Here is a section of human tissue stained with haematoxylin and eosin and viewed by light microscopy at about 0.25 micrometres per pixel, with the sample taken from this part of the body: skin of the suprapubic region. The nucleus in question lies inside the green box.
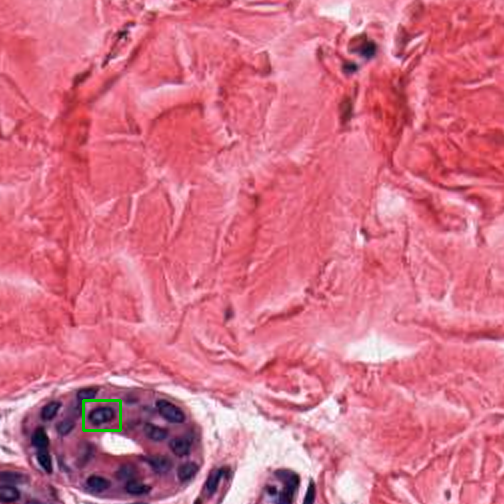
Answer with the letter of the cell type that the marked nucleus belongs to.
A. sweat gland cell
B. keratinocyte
A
